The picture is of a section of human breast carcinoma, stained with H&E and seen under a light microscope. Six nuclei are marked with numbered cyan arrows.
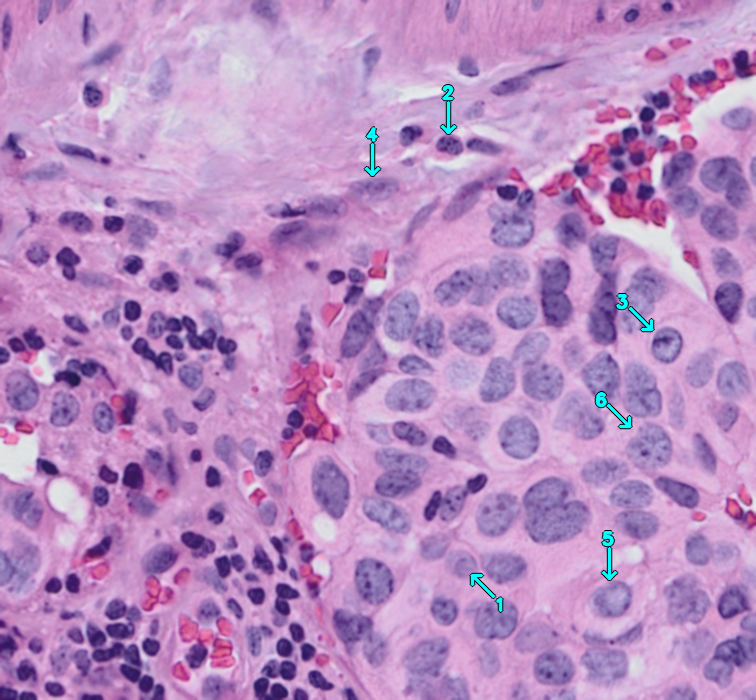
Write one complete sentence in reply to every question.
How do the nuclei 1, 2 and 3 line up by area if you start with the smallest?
Smallest first, the nuclei run 2, 1, 3.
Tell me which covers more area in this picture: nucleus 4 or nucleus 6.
Nucleus 6 is larger, with an area about 2 times that of nucleus 4.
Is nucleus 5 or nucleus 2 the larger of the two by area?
At about 3 times the area of nucleus 2, nucleus 5 is the larger of the two.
